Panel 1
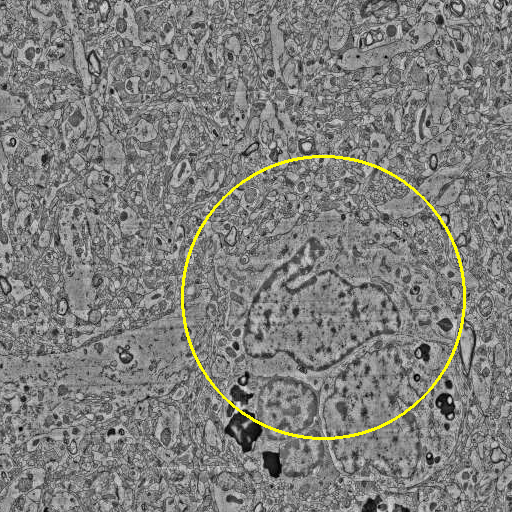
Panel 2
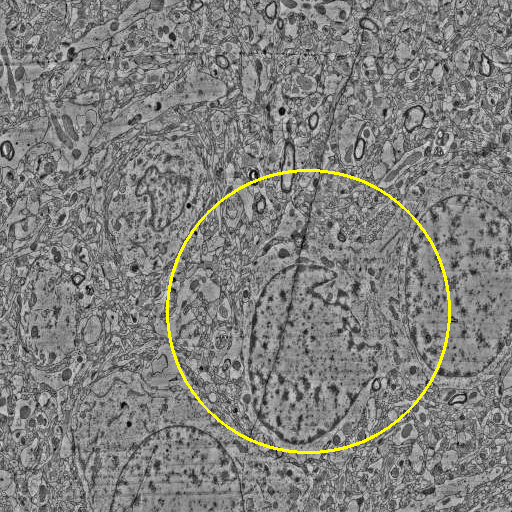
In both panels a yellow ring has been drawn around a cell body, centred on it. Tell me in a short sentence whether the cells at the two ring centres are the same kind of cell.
Yes, they are the same kind of cell.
